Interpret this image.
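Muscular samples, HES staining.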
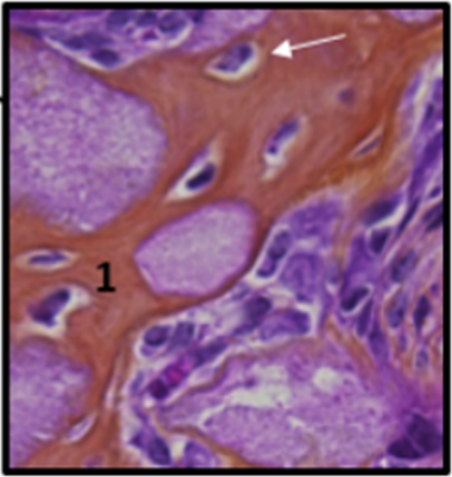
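The orange-brown matrix is homogeneous and faintly fibrous, forming branching bands. Within it lie several cells with dark, flattened to oval nuclei, each set in a small clear space. Rounded pale pink-violet granular masses are bordered by the matrix. At the lower right, small cells with dark purple nuclei crowd between the structures.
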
